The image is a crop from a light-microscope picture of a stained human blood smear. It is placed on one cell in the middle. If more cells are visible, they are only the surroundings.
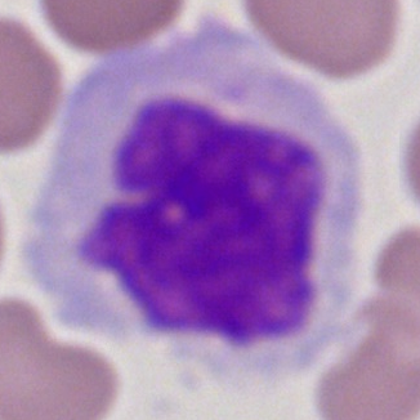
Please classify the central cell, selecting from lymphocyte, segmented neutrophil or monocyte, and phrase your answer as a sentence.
Among the cells in view, the one in the middle is a monocyte.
